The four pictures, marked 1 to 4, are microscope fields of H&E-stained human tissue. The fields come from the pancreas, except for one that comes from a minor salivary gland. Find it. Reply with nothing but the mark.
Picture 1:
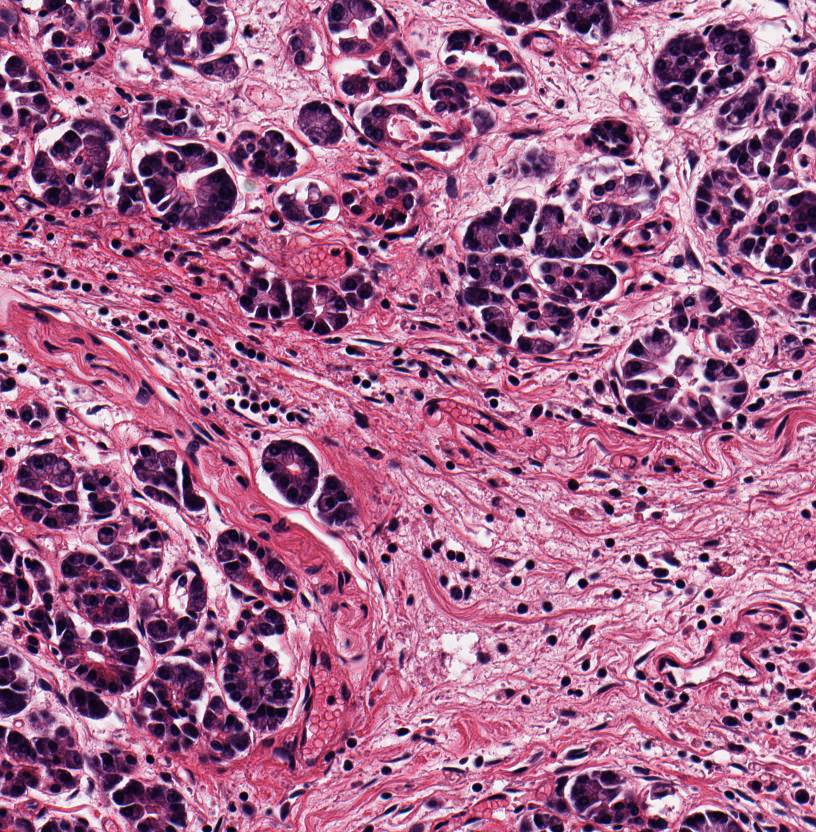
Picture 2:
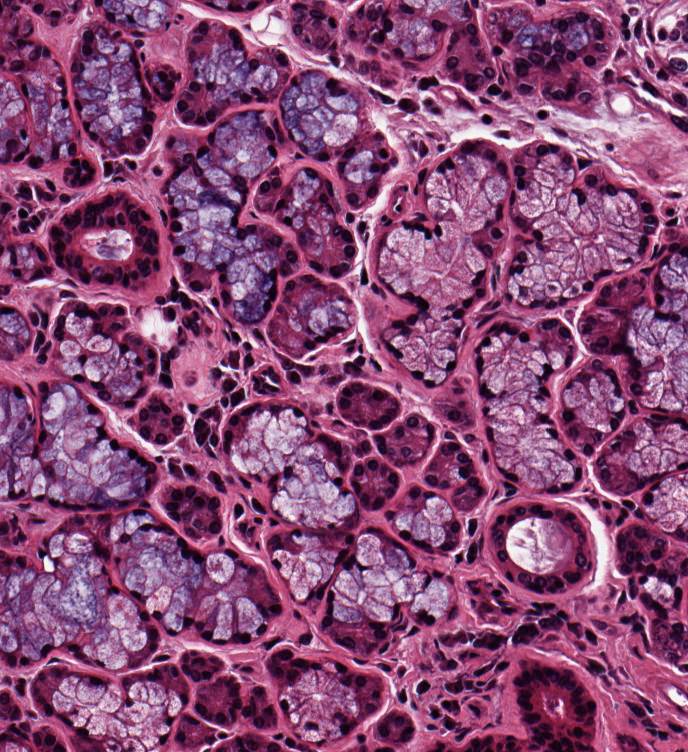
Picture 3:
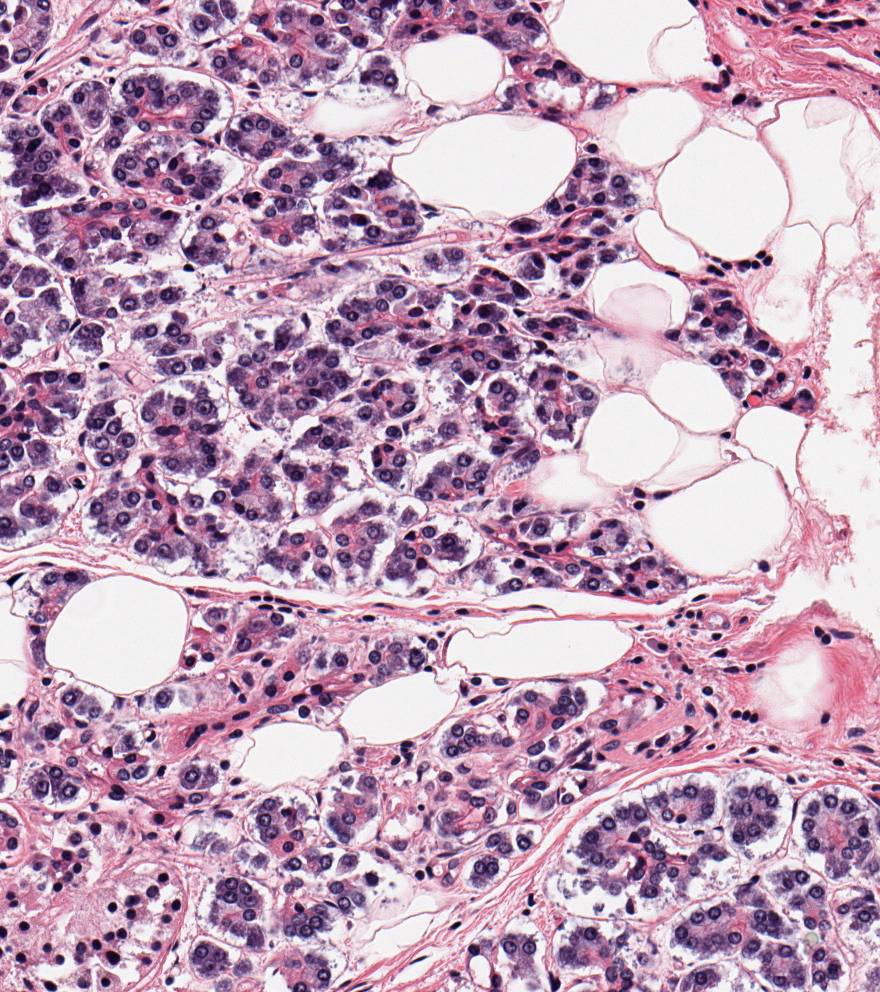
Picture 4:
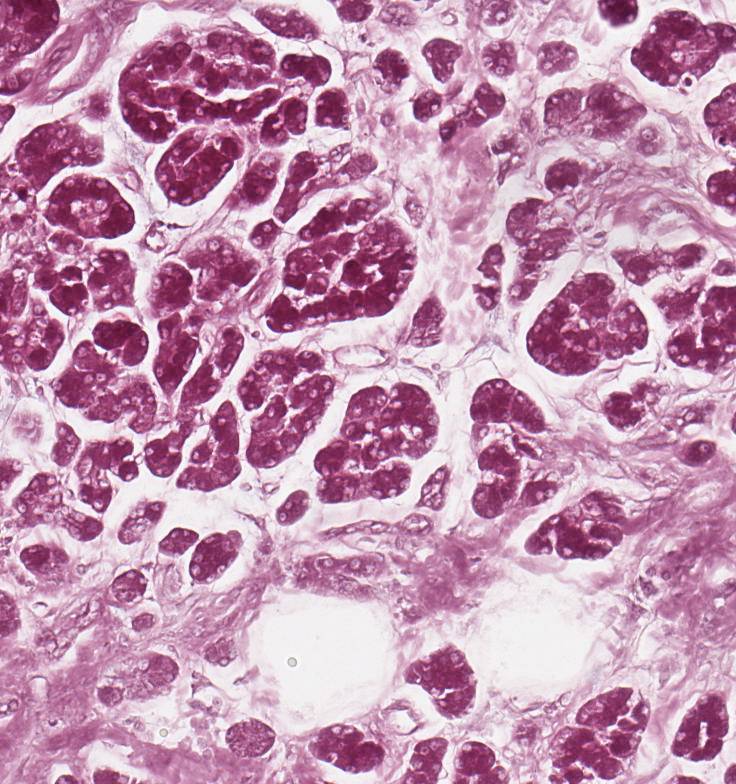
2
